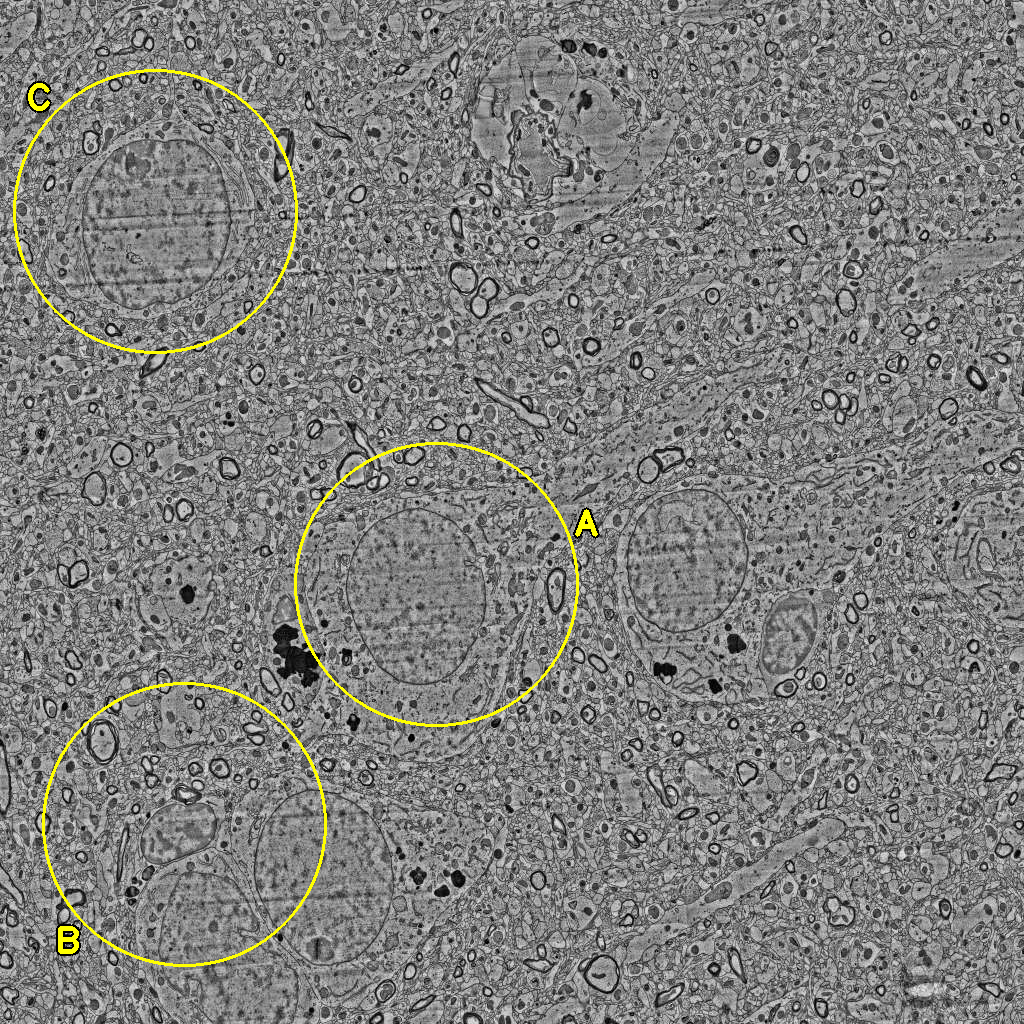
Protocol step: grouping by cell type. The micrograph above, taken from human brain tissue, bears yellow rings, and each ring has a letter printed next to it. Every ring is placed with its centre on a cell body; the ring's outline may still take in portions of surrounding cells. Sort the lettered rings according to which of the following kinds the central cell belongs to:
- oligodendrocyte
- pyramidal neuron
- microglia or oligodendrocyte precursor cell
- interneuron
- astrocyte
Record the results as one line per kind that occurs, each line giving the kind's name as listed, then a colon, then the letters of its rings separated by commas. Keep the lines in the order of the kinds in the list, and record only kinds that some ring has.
pyramidal neuron: A
microglia or oligodendrocyte precursor cell: B
interneuron: C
